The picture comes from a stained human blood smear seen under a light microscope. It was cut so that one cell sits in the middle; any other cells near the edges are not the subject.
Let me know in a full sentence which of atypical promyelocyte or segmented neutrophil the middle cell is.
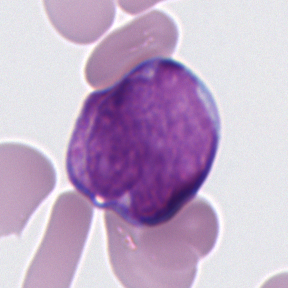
The middle position in this crop is taken by an atypical promyelocyte.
